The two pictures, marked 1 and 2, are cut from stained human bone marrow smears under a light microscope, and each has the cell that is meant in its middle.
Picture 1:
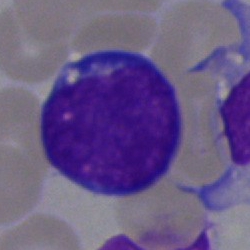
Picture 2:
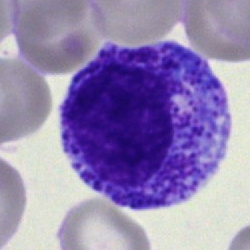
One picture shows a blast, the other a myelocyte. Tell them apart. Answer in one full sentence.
Picture 1 is of a blast, and picture 2 is of a myelocyte.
